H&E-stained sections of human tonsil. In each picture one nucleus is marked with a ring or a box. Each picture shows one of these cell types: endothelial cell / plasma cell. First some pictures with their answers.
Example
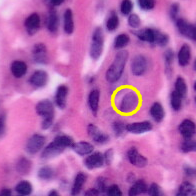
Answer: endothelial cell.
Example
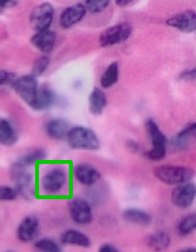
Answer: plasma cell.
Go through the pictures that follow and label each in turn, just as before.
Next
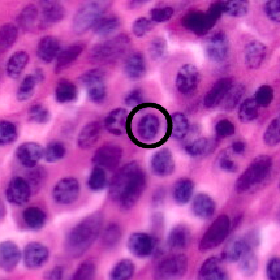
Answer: plasma cell.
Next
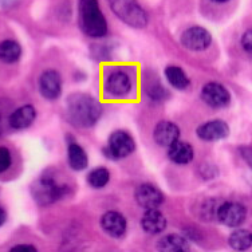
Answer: plasma cell.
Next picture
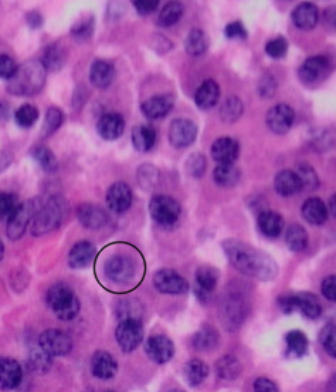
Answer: plasma cell.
